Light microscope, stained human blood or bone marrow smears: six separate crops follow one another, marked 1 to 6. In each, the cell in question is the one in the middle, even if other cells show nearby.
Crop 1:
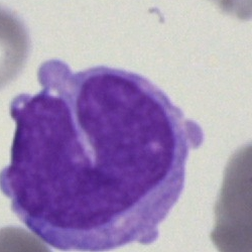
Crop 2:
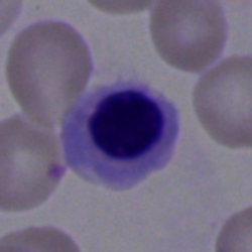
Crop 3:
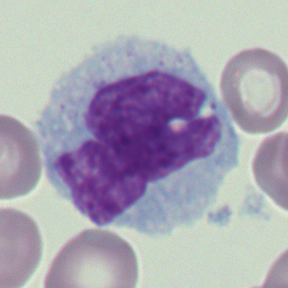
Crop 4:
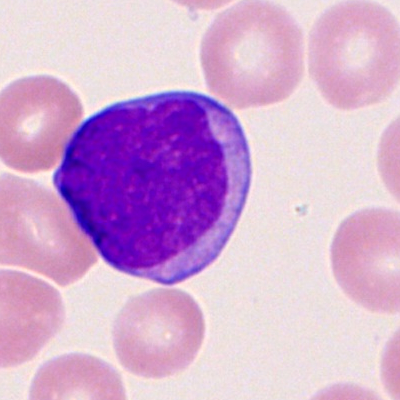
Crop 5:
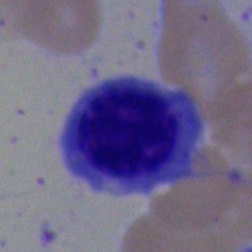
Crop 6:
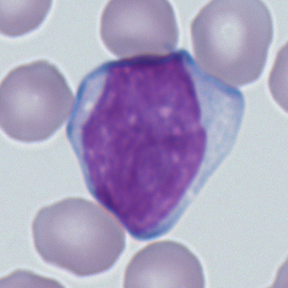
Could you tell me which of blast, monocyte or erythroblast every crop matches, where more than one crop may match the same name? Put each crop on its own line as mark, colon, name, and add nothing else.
1: monocyte
2: erythroblast
3: monocyte
4: blast
5: erythroblast
6: blast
